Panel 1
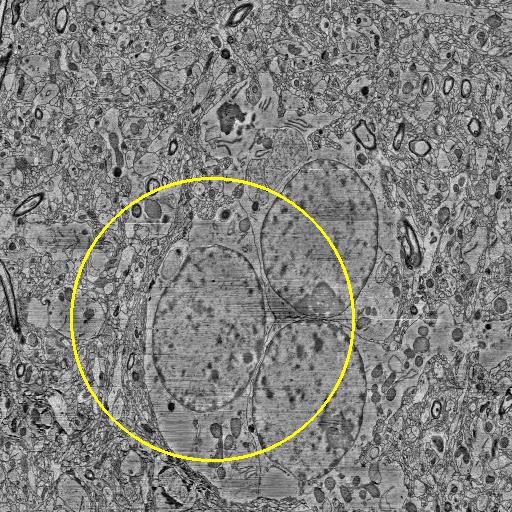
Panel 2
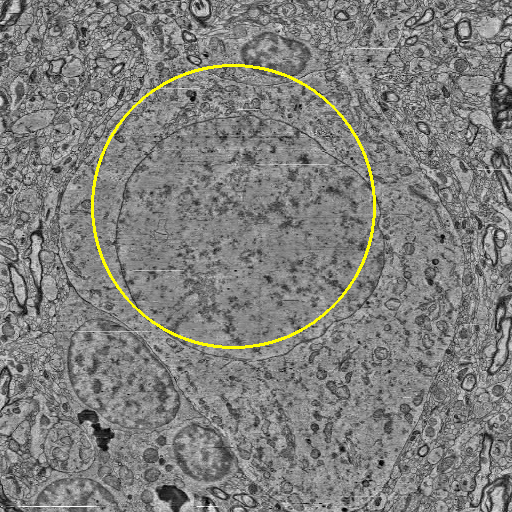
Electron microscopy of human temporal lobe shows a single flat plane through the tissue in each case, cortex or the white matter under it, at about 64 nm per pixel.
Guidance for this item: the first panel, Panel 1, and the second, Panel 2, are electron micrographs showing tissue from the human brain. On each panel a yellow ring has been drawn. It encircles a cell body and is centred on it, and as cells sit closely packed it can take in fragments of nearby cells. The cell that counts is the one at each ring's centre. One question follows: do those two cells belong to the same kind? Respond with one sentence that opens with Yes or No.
No, the cells at the ring centres in Panel 1 and Panel 2 are of two kinds.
